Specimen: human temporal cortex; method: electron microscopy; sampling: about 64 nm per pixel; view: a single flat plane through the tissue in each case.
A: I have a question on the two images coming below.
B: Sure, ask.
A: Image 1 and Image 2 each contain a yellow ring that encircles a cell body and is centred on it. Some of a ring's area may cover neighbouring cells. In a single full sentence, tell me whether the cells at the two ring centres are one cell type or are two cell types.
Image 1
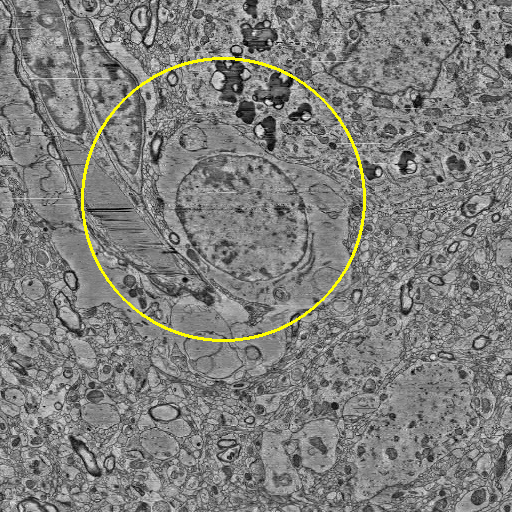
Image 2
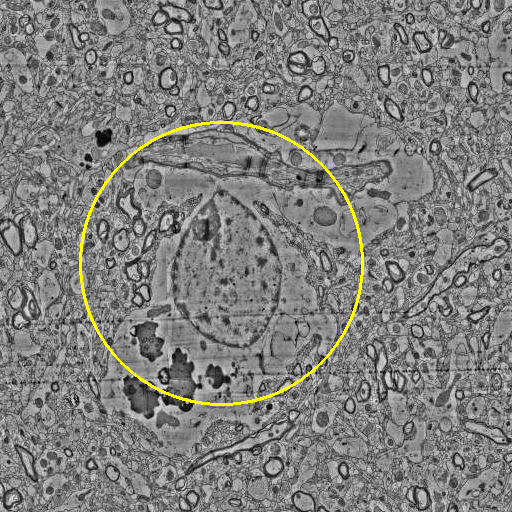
As for the ring-centre cells, the one in Image 1 and the one in Image 2 are one cell type.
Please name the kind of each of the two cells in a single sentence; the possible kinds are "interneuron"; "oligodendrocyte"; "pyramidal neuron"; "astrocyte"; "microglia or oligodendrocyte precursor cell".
Both cells are the same kind, each one being an astrocyte.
